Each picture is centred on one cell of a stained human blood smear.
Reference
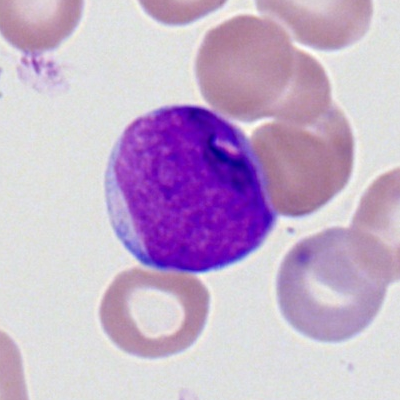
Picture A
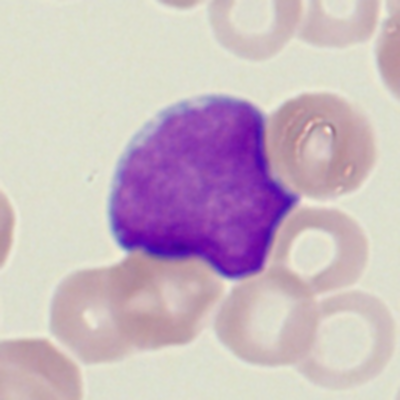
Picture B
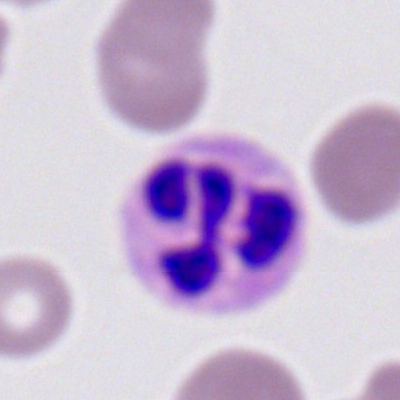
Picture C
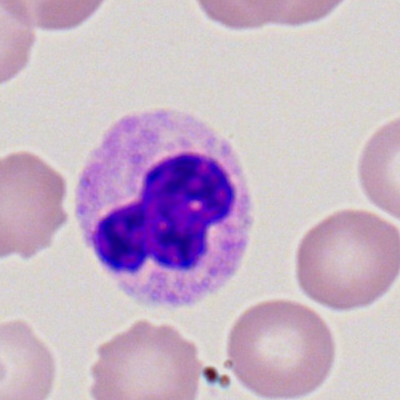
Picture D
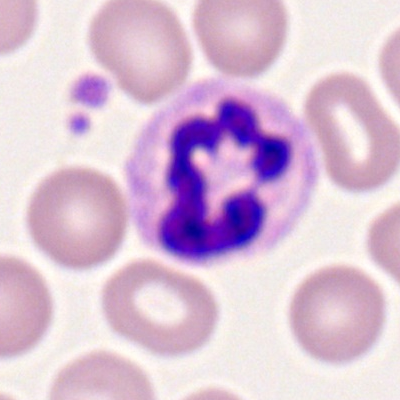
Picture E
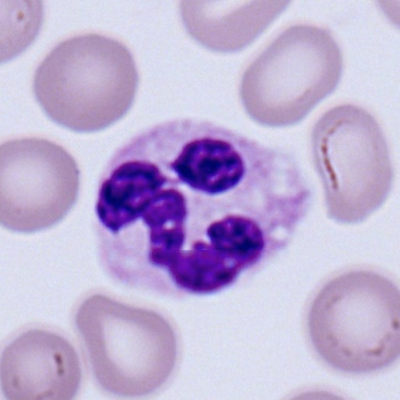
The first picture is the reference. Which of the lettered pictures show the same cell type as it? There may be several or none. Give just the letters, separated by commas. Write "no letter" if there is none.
A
